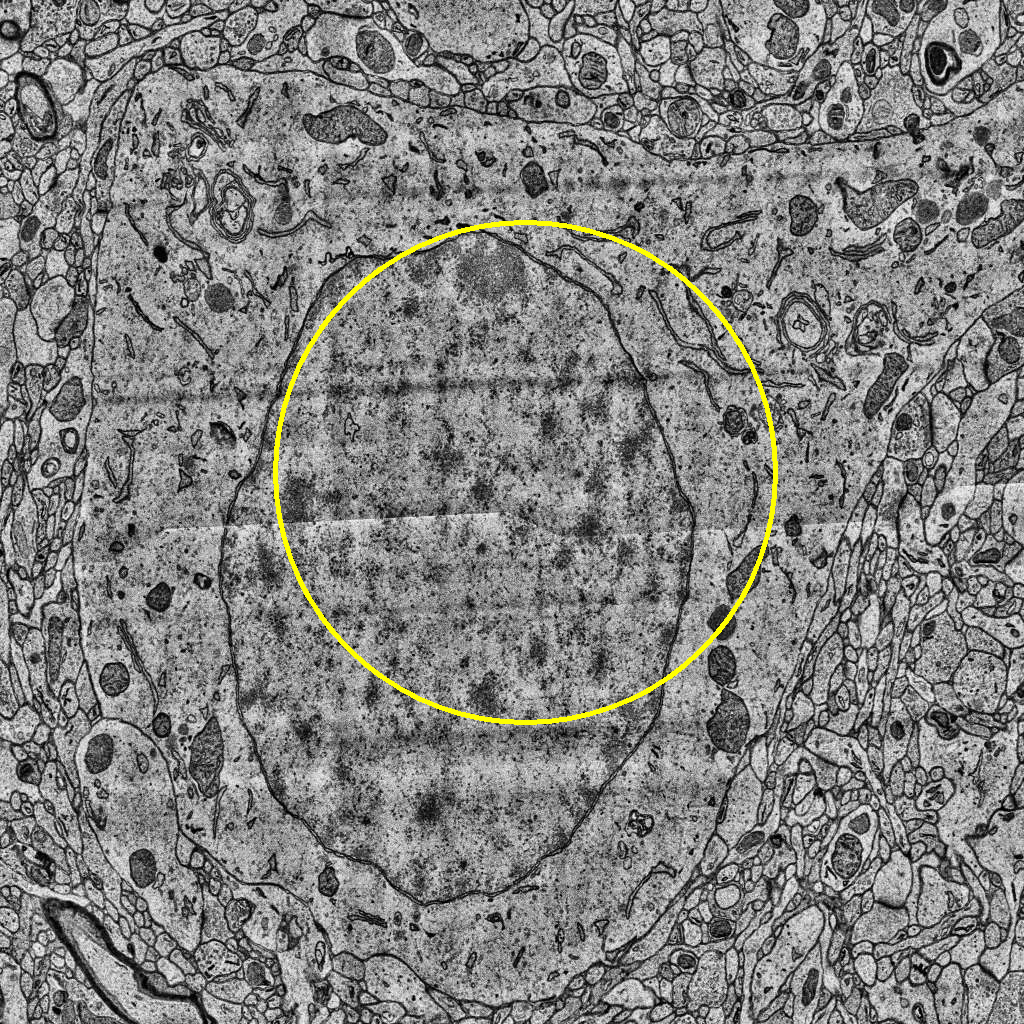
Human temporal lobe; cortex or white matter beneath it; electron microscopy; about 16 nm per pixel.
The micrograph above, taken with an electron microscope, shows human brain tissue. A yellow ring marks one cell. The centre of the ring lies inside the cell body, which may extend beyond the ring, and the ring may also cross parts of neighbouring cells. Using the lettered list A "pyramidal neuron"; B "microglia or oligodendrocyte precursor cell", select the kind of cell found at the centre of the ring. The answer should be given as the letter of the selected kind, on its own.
A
